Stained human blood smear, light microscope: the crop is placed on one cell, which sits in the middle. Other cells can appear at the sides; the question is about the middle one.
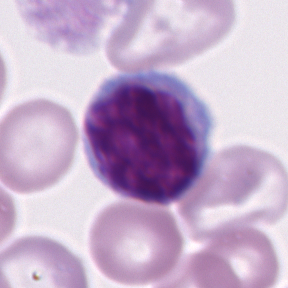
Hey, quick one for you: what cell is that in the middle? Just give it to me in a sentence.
The cell centred in this crop is categorized as a typical lymphocyte.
